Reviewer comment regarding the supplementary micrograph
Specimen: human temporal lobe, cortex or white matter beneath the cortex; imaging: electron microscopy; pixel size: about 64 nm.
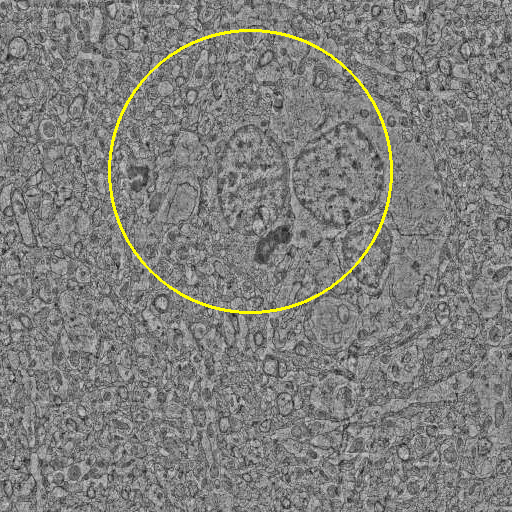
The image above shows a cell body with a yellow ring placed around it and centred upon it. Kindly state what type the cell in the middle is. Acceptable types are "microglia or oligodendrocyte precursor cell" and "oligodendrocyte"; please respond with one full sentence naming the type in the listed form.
In the image above, the cell on which the yellow ring is centred is an oligodendrocyte.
